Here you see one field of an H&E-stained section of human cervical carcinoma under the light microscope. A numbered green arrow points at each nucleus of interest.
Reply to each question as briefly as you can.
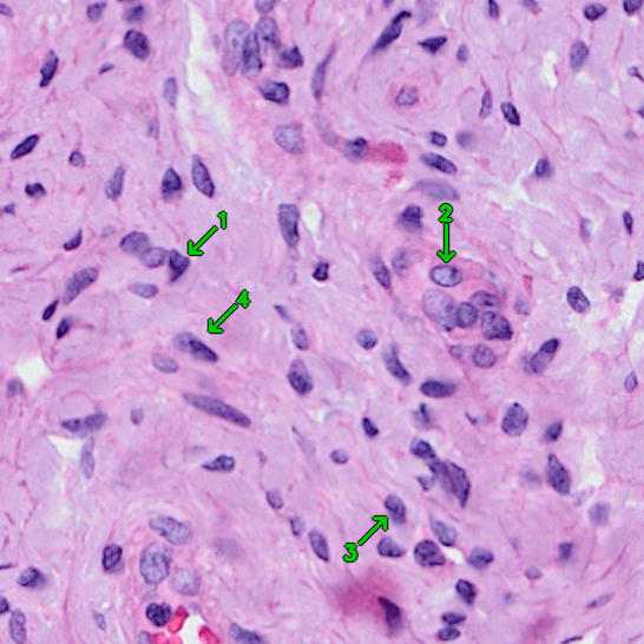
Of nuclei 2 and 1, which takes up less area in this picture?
1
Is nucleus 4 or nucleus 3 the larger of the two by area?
4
